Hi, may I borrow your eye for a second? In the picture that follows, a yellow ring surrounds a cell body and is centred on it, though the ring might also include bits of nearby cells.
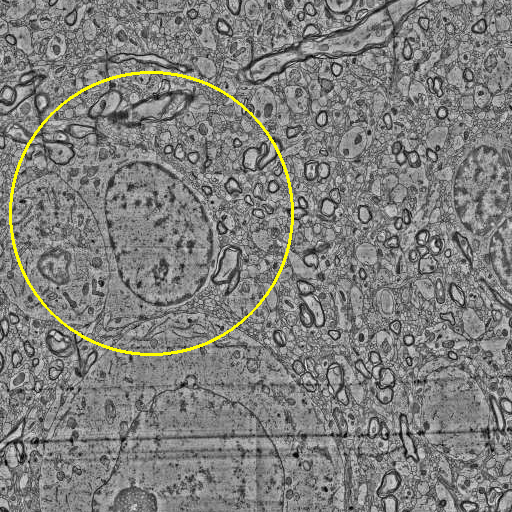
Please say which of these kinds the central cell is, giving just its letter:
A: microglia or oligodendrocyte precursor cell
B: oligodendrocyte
A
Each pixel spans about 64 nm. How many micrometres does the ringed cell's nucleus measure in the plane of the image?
In this plane, the nucleus of the cell at the centre of the ring measures about 9 by 6 micrometres.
